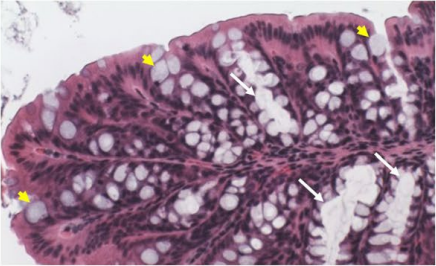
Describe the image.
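This is colonic mucosa cut across a fold, with crypts radiating from a central strip of lamina propria toward the pink-purple surface. The crypts are lined by columnar cells with dark, elongated basal nuclei, crowded among many pale, round goblet cells whose mucus appears almost white. Several goblet cells at the surface are noticeably large and bulging. In a few crypts the lumen is widened and filled with pale, whitish mucus-like material, so the crypt looks plugged. The lamina propria between crypts is thin and holds scattered small dark nuclei.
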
